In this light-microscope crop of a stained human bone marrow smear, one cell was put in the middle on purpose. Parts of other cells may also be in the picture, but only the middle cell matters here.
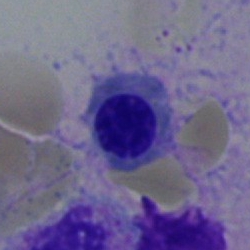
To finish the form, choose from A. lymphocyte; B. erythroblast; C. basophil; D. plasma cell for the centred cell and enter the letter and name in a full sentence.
The cell in the middle is correctly identified as an erythroblast in option B.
